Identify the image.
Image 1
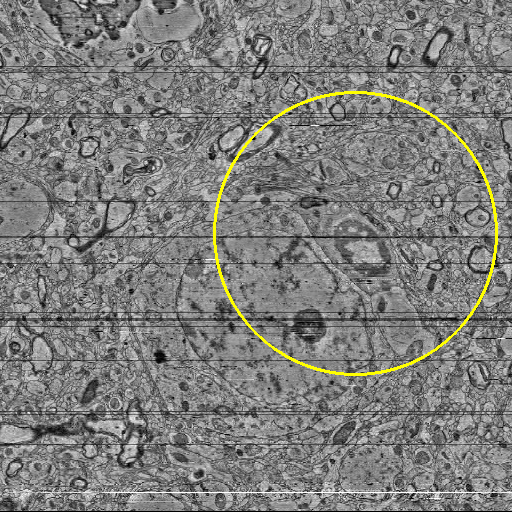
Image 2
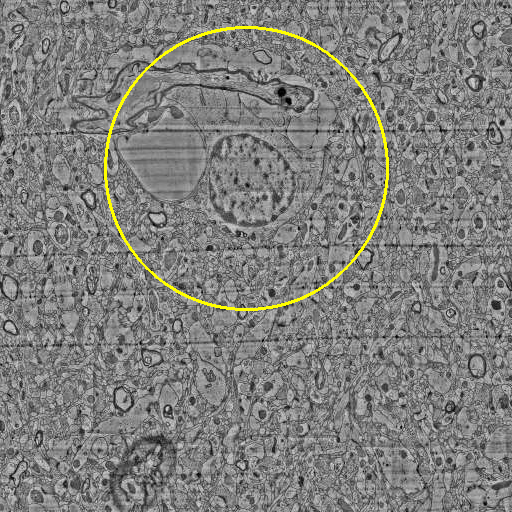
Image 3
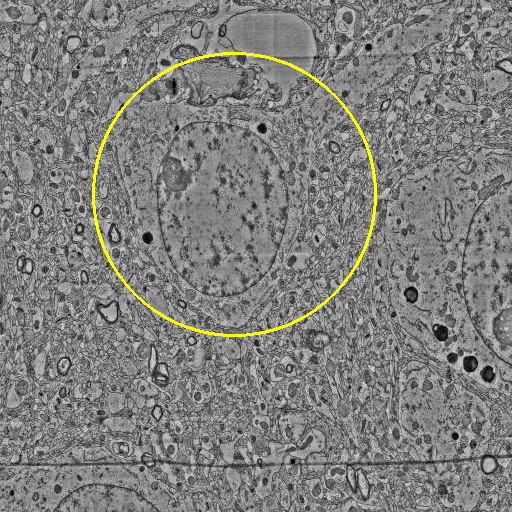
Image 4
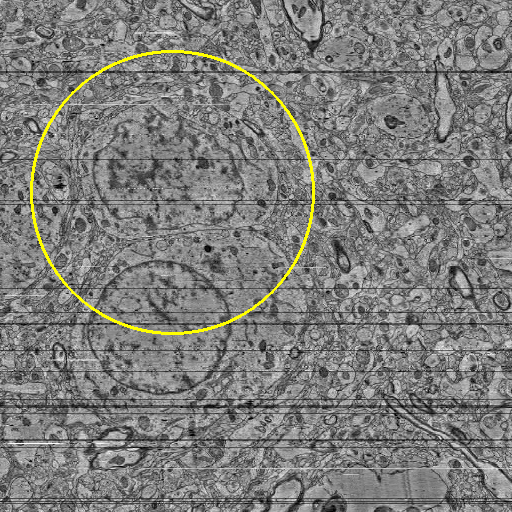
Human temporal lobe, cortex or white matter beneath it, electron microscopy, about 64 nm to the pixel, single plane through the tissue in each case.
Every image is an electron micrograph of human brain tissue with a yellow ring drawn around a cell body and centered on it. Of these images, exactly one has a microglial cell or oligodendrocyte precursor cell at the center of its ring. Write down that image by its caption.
Image 2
